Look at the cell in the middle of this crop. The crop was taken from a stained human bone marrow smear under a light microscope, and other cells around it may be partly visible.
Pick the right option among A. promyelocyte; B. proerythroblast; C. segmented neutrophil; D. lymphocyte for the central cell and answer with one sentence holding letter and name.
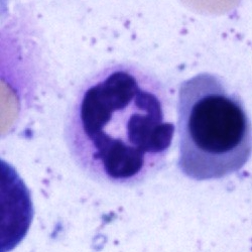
Option C, which names the central cell as a segmented neutrophil, is correct.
